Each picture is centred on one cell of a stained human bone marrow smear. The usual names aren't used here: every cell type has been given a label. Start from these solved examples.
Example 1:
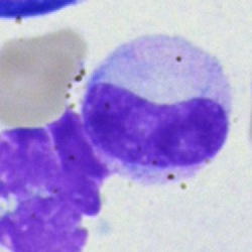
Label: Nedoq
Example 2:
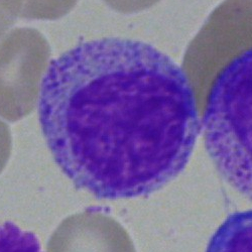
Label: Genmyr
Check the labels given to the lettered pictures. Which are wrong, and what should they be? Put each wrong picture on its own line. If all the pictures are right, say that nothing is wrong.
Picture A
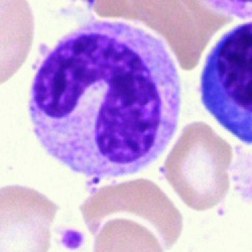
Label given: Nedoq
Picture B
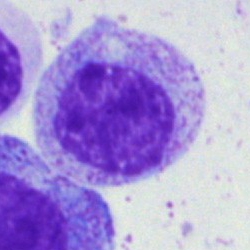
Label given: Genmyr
All labels are correct.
